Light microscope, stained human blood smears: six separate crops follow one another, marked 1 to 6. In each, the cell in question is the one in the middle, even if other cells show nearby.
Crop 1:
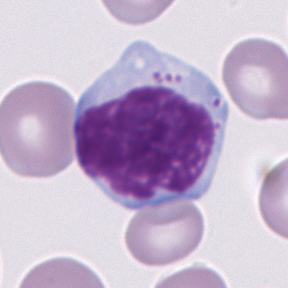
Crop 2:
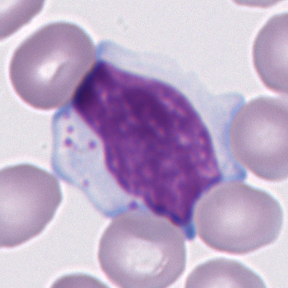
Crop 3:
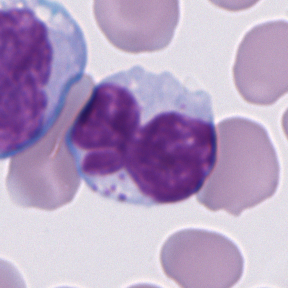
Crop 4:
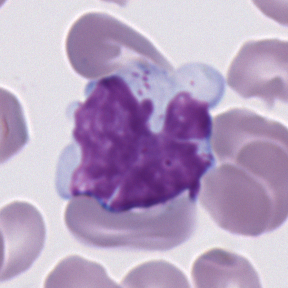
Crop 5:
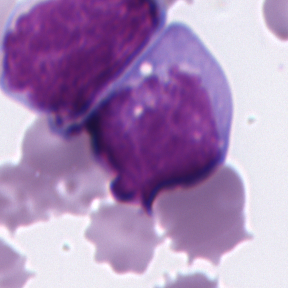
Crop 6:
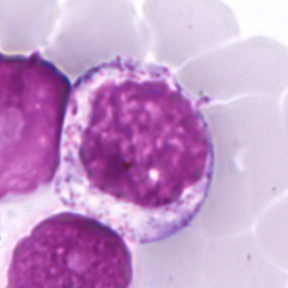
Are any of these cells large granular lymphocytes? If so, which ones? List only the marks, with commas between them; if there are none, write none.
1, 2, 3, 4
